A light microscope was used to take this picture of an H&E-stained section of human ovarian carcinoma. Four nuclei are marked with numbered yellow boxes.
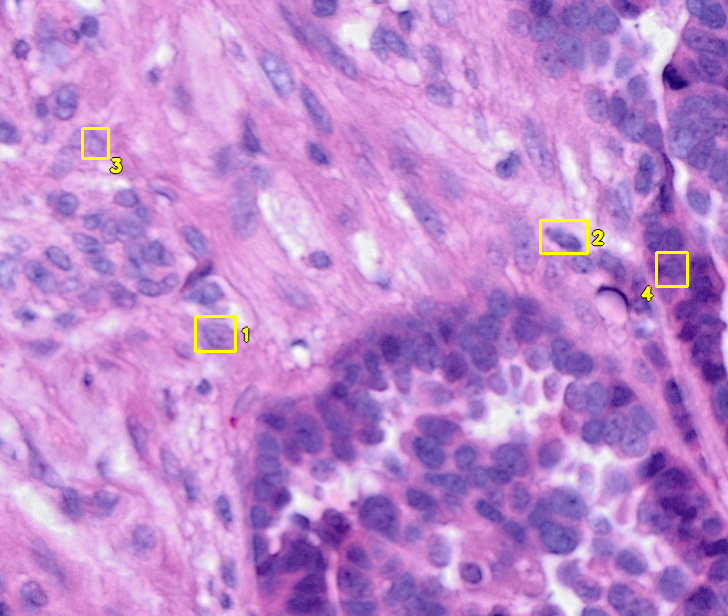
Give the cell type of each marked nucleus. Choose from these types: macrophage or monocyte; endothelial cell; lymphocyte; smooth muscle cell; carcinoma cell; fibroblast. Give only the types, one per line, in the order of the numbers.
fibroblast
macrophage or monocyte
fibroblast
carcinoma cell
